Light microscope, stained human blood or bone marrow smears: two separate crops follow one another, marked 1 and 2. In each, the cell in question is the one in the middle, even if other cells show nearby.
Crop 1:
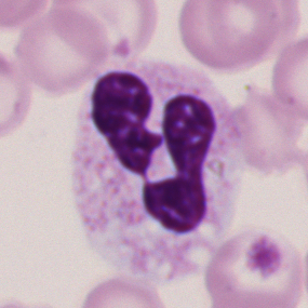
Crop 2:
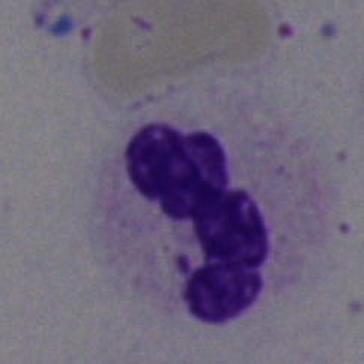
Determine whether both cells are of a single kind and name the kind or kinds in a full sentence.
Yes, both crops show segmented neutrophils as the central cells.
